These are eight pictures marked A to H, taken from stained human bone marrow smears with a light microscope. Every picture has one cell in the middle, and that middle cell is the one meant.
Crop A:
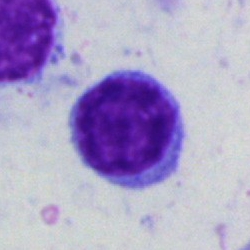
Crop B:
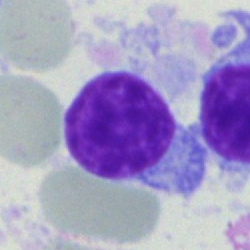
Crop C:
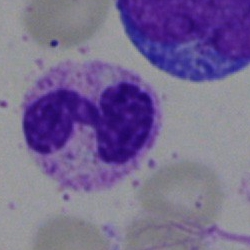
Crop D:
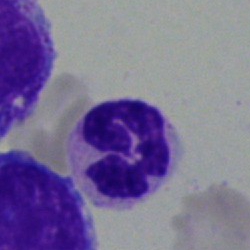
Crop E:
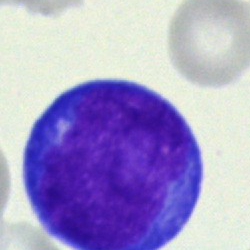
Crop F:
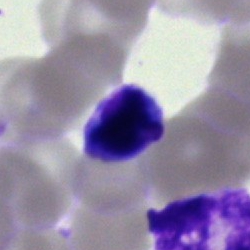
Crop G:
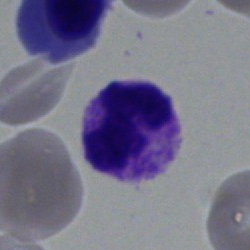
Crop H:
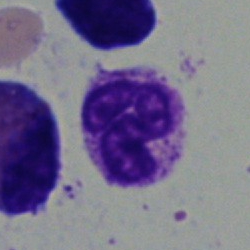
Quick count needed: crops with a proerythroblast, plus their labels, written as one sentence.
Only one crop qualifies as showing a proerythroblast, and that is crop E.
